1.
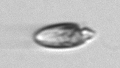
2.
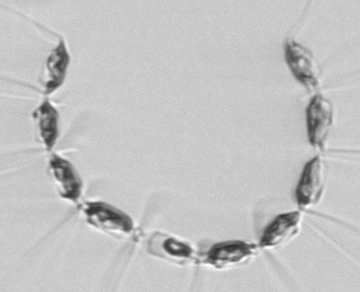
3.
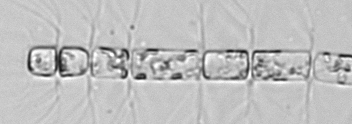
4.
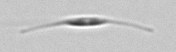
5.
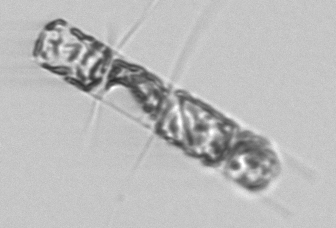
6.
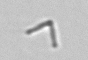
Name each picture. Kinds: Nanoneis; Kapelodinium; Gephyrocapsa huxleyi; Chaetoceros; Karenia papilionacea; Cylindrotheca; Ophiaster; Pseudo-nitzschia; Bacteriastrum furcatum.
(1) Kapelodinium
(2) Chaetoceros
(3) Bacteriastrum furcatum
(4) Cylindrotheca
(5) Chaetoceros
(6) Nanoneis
